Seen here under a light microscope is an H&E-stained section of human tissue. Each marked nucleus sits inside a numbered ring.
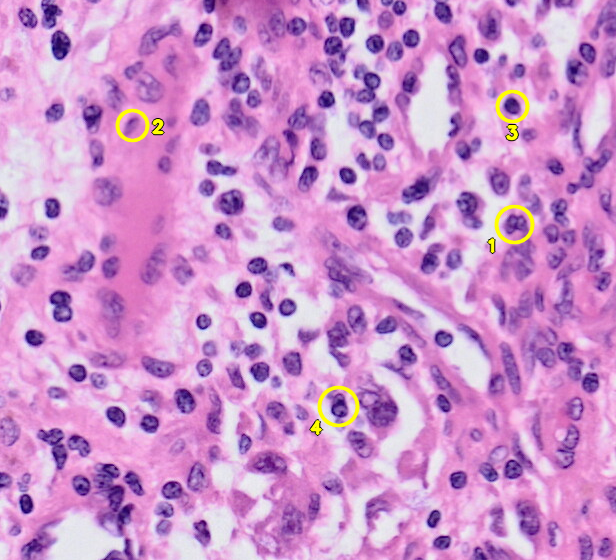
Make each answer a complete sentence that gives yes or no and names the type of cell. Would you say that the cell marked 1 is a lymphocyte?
No, the right label for cell 1 is a macrophage or monocyte rather than a lymphocyte.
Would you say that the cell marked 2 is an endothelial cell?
Yes, the cell referred to as number 2 is an endothelial cell.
